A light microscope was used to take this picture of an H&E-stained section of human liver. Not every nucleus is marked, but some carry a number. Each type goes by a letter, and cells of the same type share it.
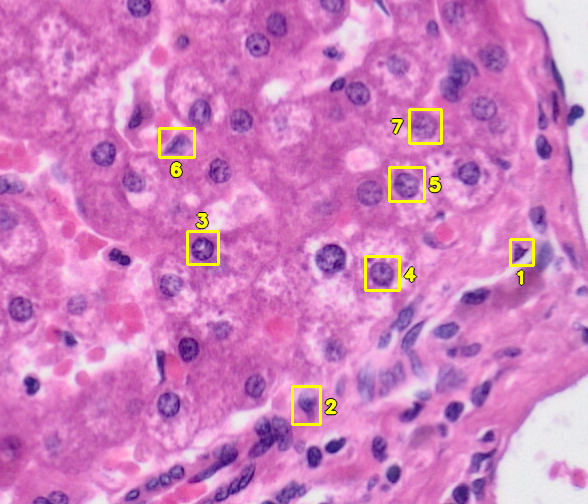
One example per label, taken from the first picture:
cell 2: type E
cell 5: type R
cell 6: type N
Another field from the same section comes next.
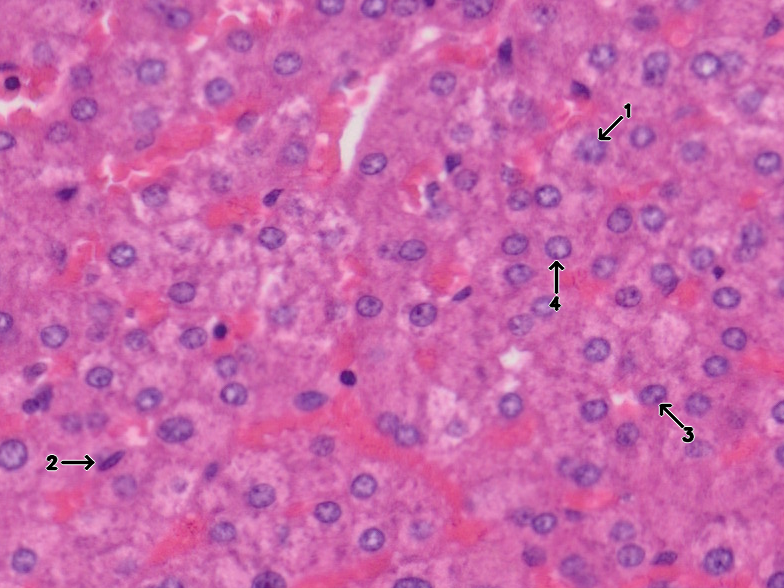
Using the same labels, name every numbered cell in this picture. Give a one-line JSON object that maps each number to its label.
{"1": "type R", "2": "type E", "3": "type R", "4": "type R"}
